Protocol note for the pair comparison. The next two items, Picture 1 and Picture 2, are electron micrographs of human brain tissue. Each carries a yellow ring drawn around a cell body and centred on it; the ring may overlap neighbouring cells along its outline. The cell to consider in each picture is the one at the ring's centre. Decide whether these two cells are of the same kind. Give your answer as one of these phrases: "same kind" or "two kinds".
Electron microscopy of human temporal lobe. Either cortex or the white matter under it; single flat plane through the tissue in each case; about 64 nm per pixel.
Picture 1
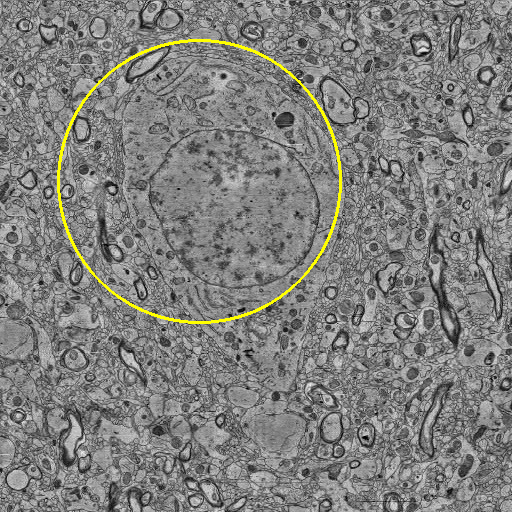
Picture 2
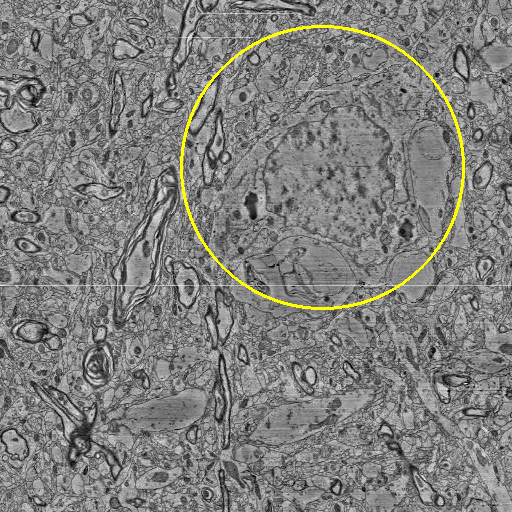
same kind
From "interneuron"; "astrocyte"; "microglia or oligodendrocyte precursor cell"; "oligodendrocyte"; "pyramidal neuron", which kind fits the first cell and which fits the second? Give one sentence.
Both rings mark an interneuron, one in each picture.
